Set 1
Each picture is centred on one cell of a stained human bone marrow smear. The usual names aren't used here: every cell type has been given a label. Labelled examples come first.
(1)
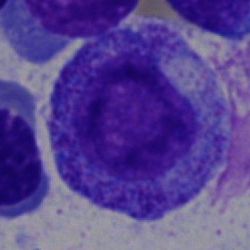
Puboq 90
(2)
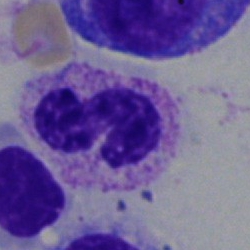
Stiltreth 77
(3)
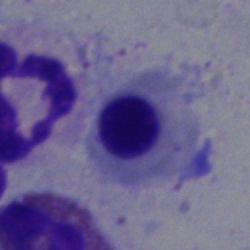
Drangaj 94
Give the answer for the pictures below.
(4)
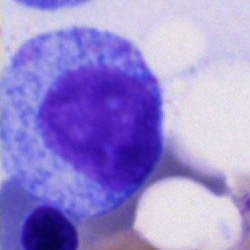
Puboq 90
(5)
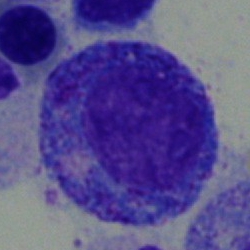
Puboq 90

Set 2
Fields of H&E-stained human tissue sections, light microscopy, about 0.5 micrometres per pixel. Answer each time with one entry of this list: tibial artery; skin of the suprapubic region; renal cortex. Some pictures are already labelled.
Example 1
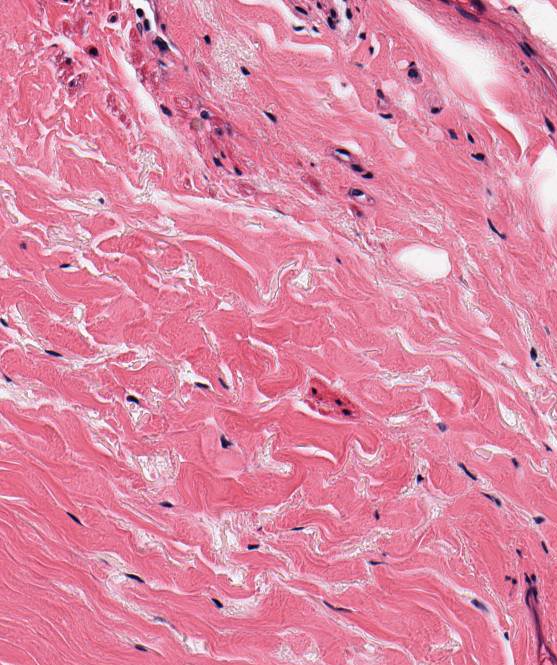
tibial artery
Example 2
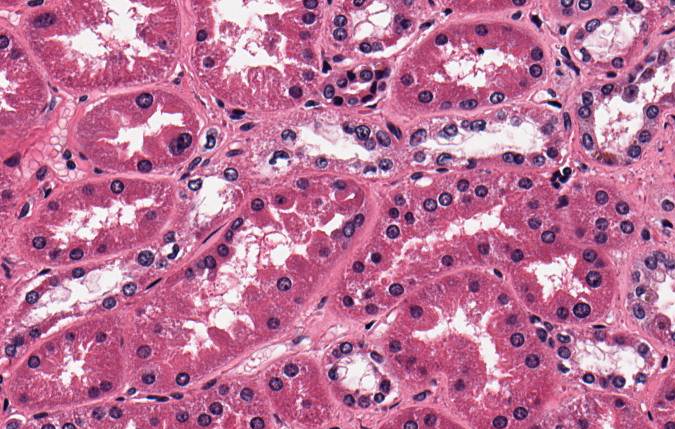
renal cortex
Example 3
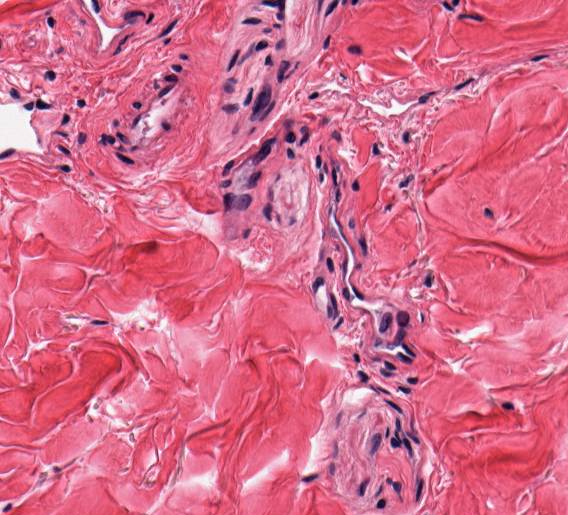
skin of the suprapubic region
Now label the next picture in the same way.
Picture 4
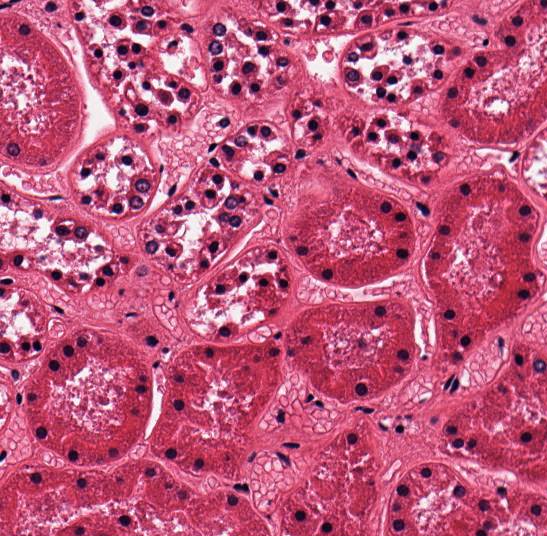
renal cortex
